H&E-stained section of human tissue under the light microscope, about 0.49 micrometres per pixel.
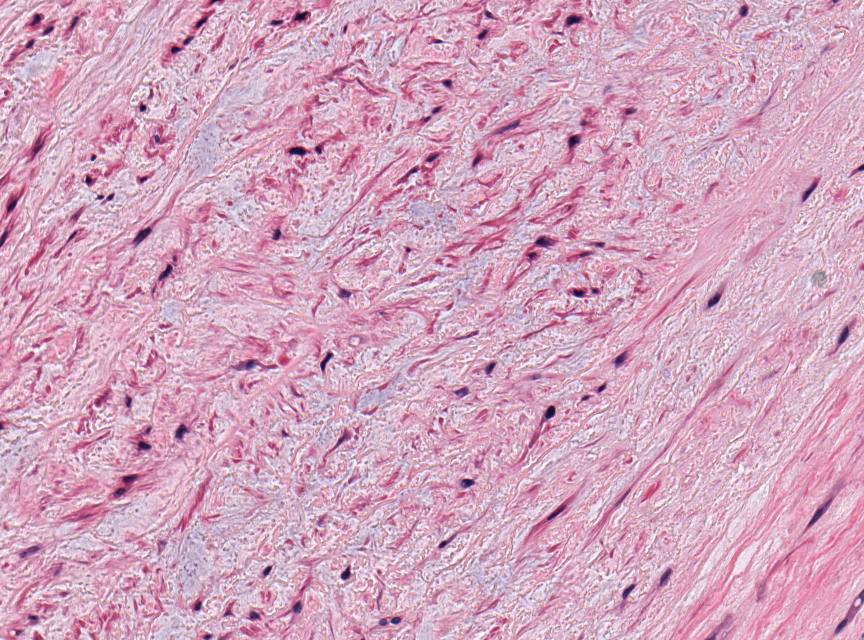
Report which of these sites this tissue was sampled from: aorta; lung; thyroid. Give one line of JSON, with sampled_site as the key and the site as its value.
{"sampled_site": "aorta"}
